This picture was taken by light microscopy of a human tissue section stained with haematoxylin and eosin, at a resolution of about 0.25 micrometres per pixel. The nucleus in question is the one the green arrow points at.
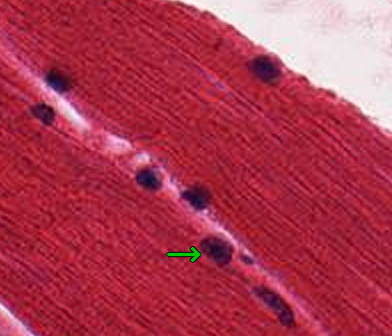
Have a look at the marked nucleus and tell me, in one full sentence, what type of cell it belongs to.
Marked in this picture is the nucleus of a skeletal muscle fibre.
